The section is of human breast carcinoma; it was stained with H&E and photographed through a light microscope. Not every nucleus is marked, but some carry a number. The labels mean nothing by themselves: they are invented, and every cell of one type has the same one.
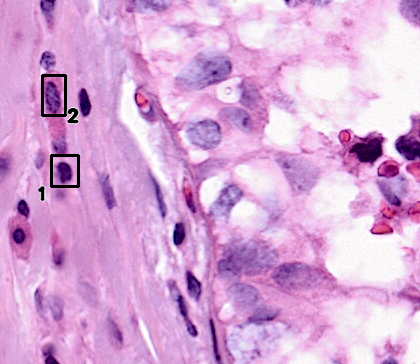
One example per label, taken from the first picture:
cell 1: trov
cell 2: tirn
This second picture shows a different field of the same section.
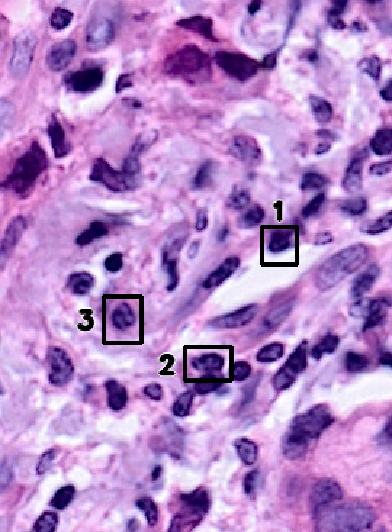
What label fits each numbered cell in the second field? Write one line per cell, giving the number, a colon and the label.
1: trov
2: trov
3: tirn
